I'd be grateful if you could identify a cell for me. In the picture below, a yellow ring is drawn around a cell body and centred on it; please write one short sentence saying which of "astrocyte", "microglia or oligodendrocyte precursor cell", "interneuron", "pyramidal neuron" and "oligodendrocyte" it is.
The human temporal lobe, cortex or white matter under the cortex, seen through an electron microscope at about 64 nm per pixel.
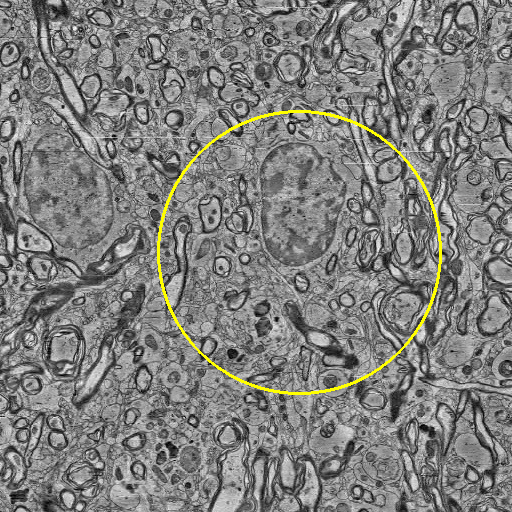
The cell under the ring's centre is a microglial cell or oligodendrocyte precursor cell.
